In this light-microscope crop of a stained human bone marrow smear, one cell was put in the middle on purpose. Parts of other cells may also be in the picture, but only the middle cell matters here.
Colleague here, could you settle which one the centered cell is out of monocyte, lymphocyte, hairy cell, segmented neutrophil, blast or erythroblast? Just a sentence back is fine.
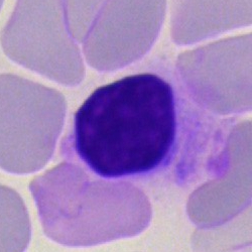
This crop is built around a lymphocyte at its centre.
